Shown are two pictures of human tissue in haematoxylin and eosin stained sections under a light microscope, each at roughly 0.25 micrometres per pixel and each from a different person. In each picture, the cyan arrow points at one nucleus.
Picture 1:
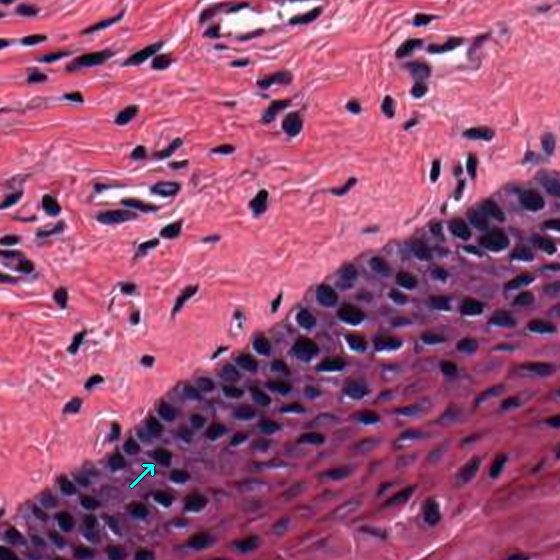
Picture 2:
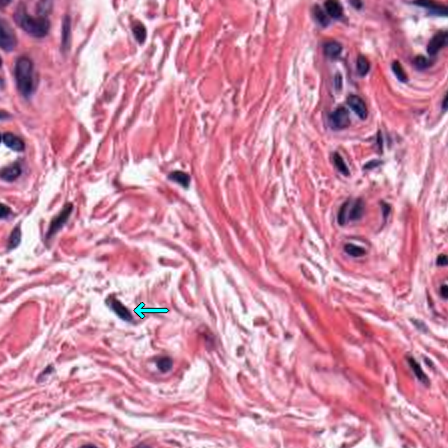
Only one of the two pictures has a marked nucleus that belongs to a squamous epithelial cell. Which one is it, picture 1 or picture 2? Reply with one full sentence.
The nucleus of a squamous epithelial cell is what is marked in picture 1.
